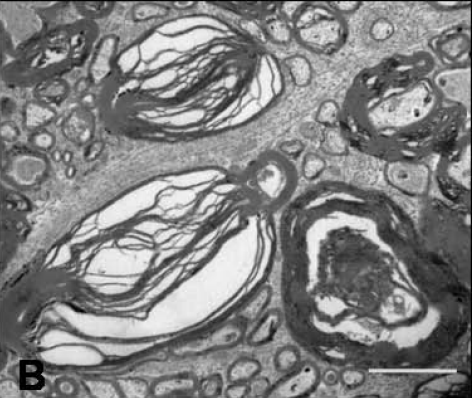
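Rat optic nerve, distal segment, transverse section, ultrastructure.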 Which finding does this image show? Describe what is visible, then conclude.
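Large fibres have myelin lamellae split apart by wide clear spaces. Thin lamellae stretch across empty vacuoles around the axons. The answer: separation and vacuolation of myelin sheath.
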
